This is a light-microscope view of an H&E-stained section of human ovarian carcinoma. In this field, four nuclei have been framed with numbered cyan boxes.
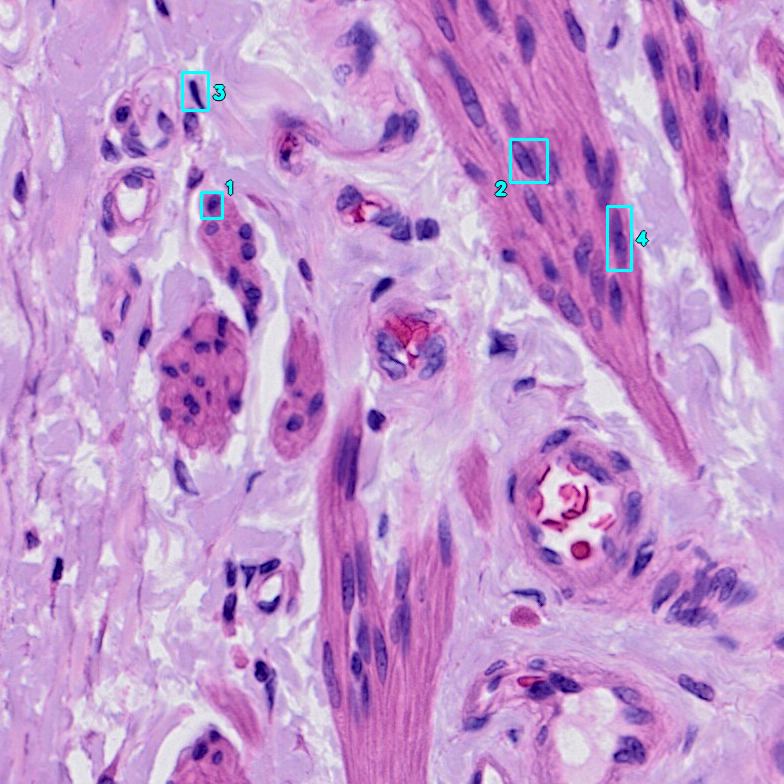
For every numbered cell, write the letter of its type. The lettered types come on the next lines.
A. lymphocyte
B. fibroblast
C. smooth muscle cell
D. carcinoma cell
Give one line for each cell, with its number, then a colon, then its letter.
1: C
2: C
3: B
4: C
